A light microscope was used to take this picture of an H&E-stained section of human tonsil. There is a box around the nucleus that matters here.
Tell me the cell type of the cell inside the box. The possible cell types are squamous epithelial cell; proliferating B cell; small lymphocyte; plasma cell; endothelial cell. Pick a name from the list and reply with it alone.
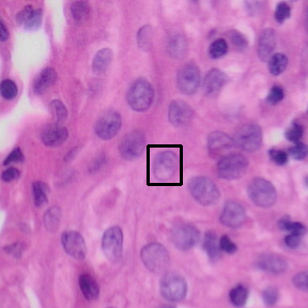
squamous epithelial cell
